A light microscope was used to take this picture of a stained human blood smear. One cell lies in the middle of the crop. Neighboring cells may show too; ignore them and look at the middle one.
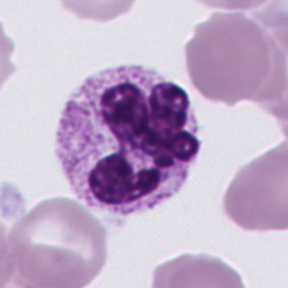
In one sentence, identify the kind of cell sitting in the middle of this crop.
In the centre of this crop there is a segmented neutrophil.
